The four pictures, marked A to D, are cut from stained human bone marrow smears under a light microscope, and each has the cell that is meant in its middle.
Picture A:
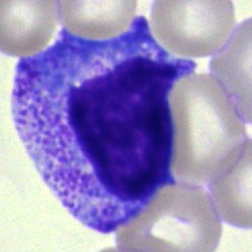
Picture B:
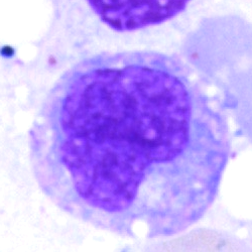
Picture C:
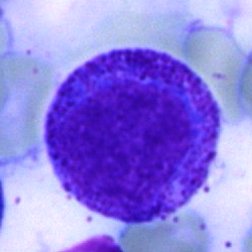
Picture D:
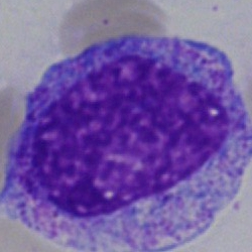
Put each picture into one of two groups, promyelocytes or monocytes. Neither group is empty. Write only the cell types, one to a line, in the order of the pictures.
promyelocyte
monocyte
promyelocyte
promyelocyte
